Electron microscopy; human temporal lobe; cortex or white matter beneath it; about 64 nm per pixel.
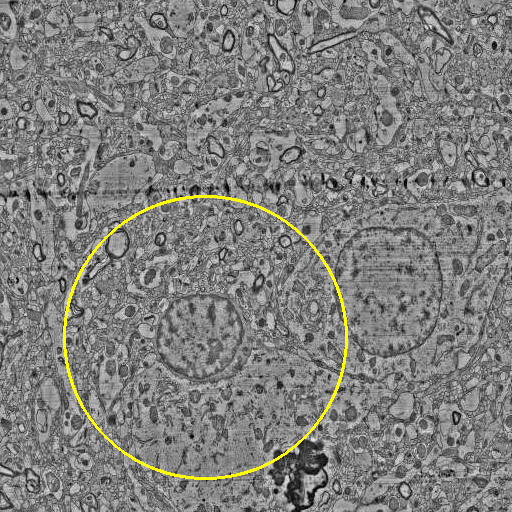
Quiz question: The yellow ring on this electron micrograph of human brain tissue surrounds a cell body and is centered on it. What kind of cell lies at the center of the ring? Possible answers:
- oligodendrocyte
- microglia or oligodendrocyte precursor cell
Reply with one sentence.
The ring's center lies on an oligodendrocyte.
